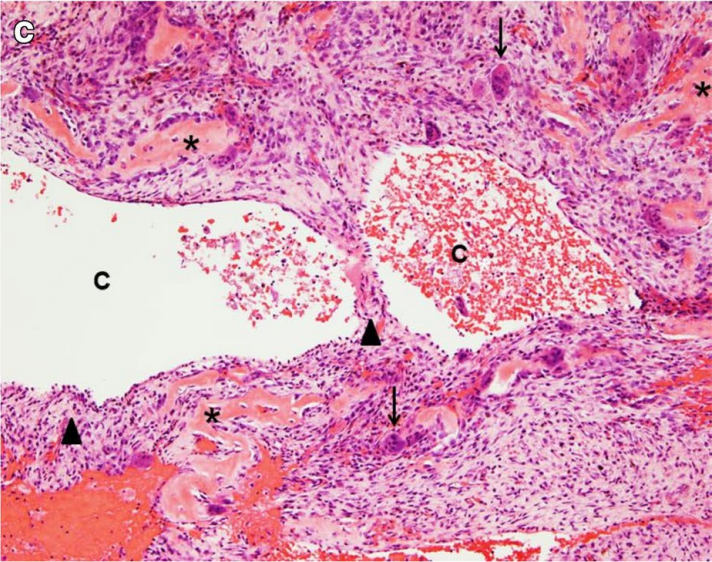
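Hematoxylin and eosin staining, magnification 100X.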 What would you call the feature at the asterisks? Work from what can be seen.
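Pink, glassy, irregular strands of matrix. Strands lie within the cellular stroma.
Answer: osteoid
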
